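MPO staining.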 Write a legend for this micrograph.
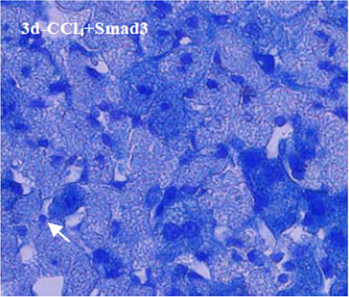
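Here again is liver tissue, with large polygonal hepatocytes that have round nuclei and a granular blue cytoplasm, lying in close cords. Between them lie small, darker cells with dense nuclei, several in the sinusoidal spaces. The arrow points to one of these small dark cells, a neutrophil, next to a narrow pale space.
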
